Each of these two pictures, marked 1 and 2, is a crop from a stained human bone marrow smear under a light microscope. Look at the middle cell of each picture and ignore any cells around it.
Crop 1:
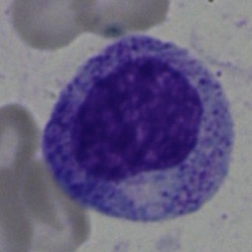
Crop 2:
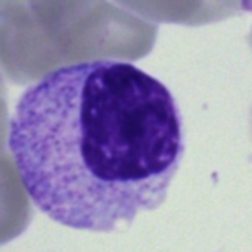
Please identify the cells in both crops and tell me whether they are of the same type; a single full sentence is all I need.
Yes, the central cells in both crops are myelocytes.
